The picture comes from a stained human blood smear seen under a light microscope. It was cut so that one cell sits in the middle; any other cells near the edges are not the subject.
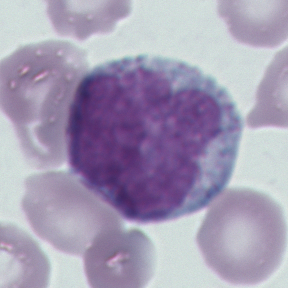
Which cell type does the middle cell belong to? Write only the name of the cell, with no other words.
promyelocyte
